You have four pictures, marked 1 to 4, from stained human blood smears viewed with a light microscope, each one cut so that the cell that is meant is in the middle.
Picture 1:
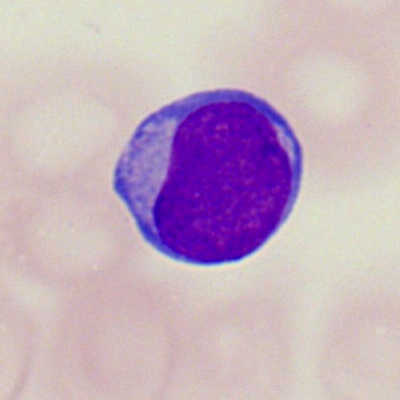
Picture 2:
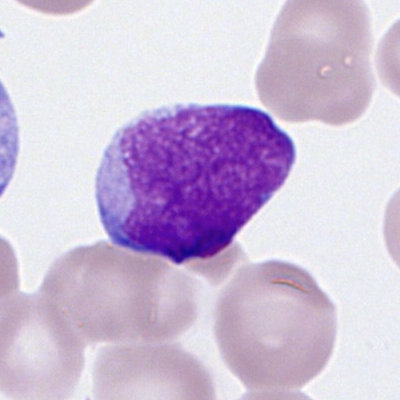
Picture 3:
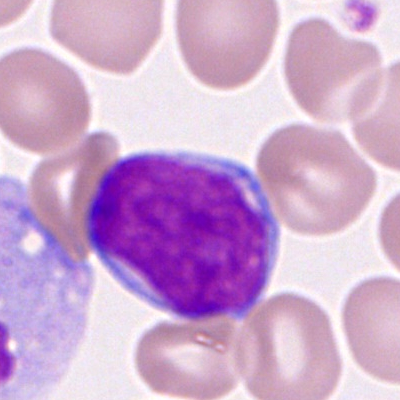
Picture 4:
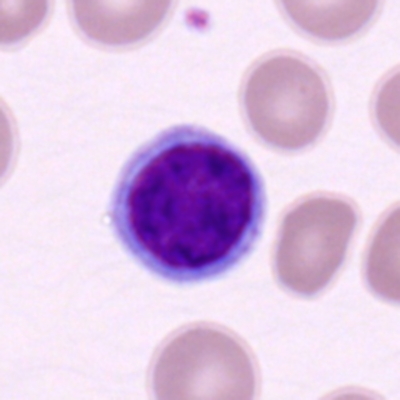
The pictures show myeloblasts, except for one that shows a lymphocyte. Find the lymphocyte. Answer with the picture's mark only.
4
